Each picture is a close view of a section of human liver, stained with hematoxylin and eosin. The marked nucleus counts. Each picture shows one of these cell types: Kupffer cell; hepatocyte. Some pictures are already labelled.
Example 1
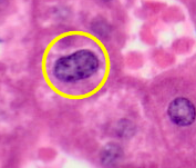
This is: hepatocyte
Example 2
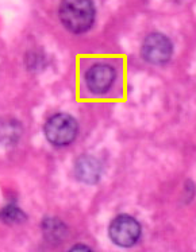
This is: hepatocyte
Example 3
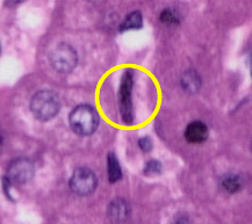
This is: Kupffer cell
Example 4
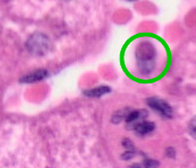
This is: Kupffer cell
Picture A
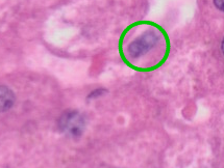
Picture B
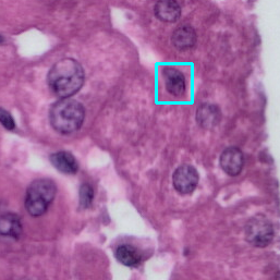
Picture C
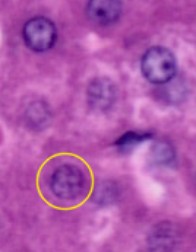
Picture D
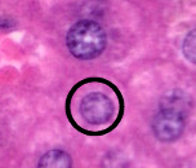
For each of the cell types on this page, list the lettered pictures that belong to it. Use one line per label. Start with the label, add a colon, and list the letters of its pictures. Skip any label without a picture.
Kupffer cell: A, B
hepatocyte: C, D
